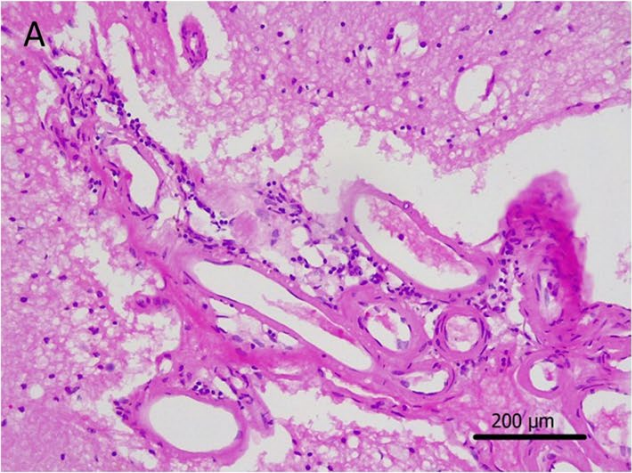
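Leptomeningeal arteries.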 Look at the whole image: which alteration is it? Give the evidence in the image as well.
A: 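Several small arteries in the meninges have thick, pink, glassy walls. The thickened walls lack distinct cellular layering.
Answer: homogenous eosinophilic thickening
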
